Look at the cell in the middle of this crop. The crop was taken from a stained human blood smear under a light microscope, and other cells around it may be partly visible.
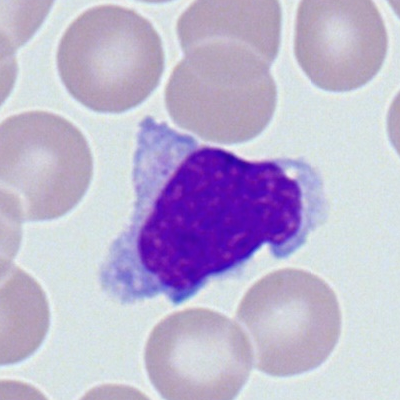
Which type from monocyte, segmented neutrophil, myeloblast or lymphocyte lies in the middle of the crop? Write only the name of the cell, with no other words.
lymphocyte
